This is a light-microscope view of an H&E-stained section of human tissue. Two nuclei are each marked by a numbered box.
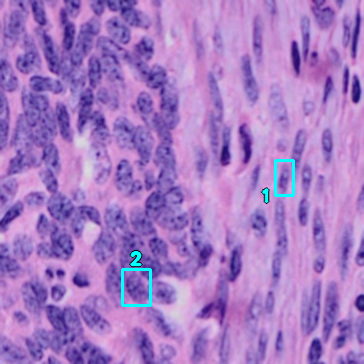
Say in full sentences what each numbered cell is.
Cell 1 is a smooth muscle cell. Cell 2 is a squamous carcinoma cell.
